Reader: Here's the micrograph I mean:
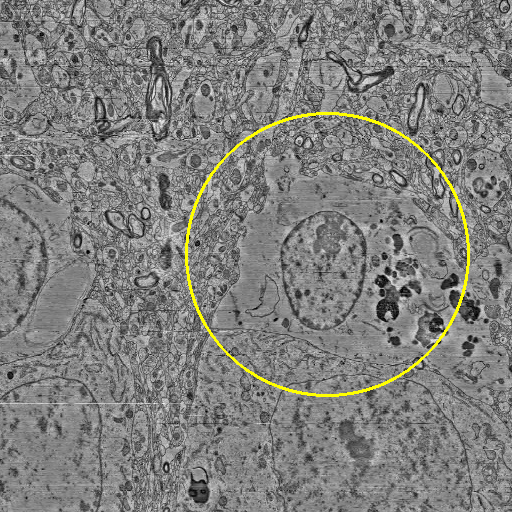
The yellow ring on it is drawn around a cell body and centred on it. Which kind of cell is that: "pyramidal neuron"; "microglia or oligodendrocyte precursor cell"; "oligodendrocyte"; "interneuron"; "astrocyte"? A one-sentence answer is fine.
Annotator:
The ring is centred on an astrocyte.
